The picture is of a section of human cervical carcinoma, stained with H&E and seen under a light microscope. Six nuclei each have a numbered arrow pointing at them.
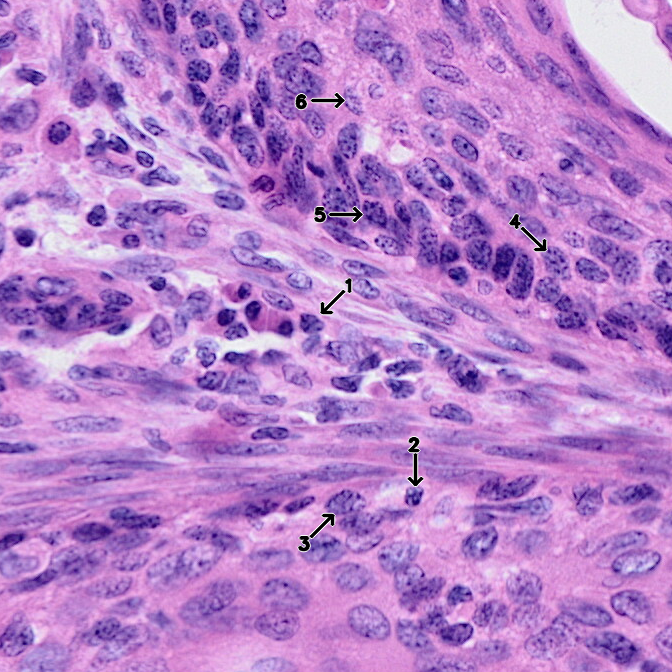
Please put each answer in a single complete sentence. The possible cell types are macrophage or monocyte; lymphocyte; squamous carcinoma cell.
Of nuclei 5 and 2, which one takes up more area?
It is nucleus 5, which covers about 2 times the area of nucleus 2.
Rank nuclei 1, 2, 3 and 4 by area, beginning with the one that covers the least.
Smallest first, the nuclei run 2, 1, 4, 3.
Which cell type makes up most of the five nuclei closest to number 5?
Squamous carcinoma cells account for more than half of the five nuclei nearest to number 5.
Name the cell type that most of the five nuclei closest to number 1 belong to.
Macrophages or monocytes account for more than half of the five nuclei nearest to number 1.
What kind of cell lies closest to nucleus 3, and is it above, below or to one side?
The closest nucleus belongs to a squamous carcinoma cell and sits below and to the right of nucleus 3.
